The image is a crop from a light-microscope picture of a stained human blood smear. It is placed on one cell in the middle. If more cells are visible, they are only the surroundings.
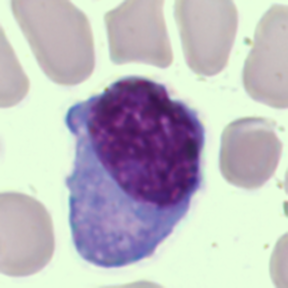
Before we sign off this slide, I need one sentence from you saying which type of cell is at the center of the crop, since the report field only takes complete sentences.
At the middle of the frame sits a plasma cell.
